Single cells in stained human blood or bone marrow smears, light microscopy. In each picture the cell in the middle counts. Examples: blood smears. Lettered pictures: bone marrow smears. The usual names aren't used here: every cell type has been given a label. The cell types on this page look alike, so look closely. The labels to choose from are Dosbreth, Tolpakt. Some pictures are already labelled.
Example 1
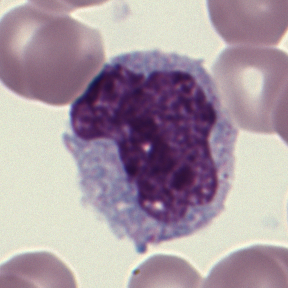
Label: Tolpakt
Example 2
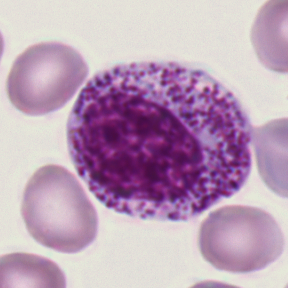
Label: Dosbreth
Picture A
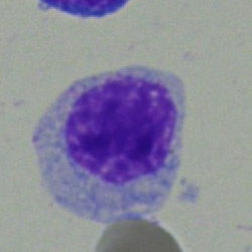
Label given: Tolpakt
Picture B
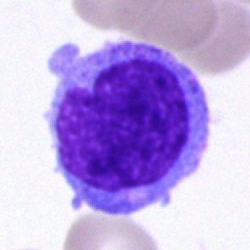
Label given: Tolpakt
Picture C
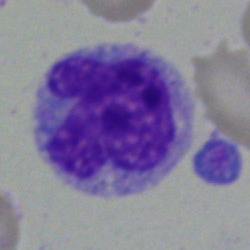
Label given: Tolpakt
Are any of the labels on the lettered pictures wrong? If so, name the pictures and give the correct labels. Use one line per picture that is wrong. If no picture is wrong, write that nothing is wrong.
A should be Dosbreth, not Tolpakt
